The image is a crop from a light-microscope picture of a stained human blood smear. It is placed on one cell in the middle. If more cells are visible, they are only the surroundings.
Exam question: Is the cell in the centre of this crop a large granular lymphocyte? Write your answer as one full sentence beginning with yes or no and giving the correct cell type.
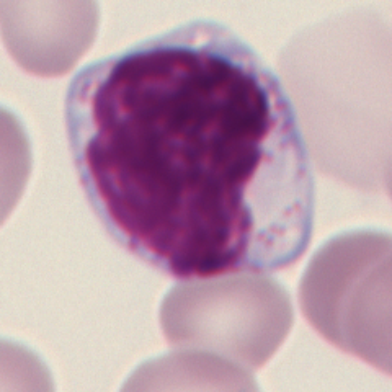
Yes, the middle cell in this crop is a large granular lymphocyte.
